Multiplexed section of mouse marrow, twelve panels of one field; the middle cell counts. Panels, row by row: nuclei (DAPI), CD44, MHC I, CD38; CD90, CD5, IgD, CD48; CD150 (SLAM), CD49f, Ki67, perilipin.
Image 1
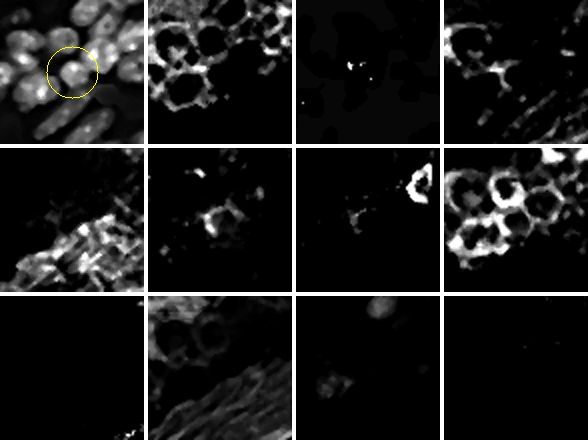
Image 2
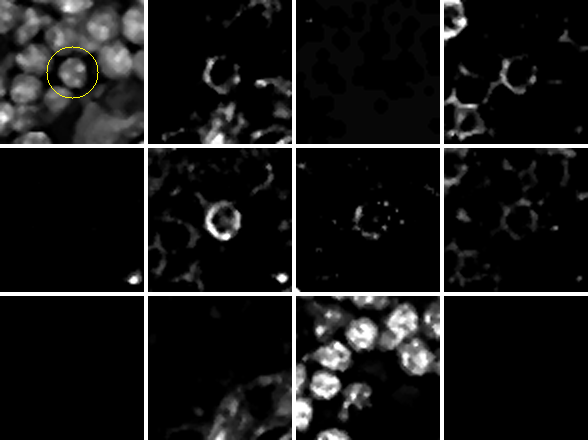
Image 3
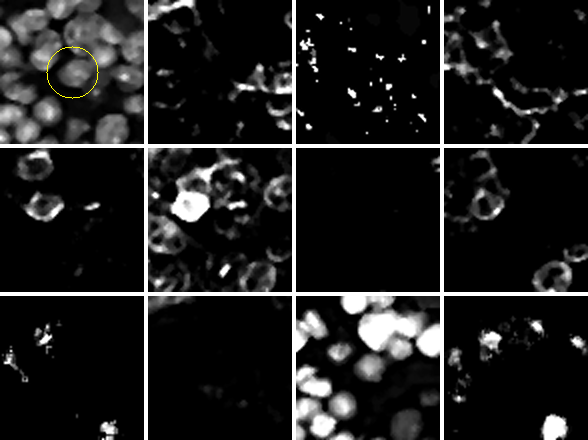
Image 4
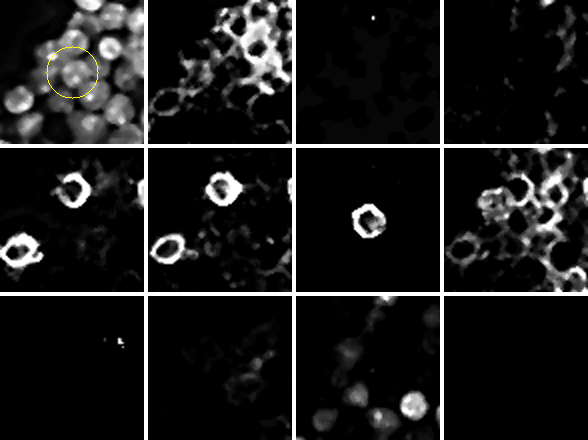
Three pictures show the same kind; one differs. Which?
Picture 3: an erythroblast, while the others are B cells.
